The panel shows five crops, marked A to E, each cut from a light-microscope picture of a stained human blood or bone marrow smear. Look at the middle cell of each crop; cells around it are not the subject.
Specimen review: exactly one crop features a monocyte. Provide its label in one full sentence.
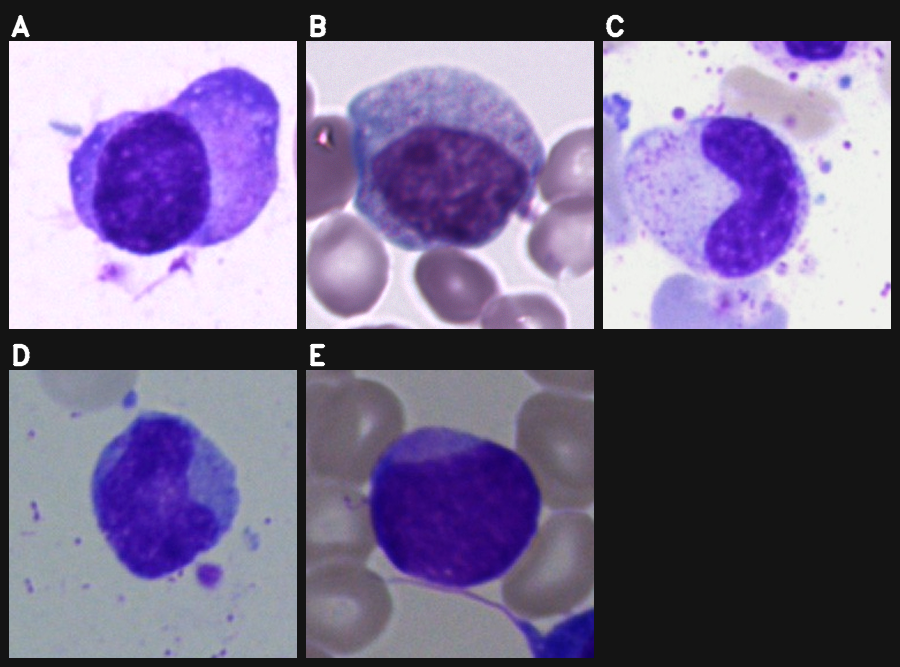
The cell identified as a monocyte is the one in crop D.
